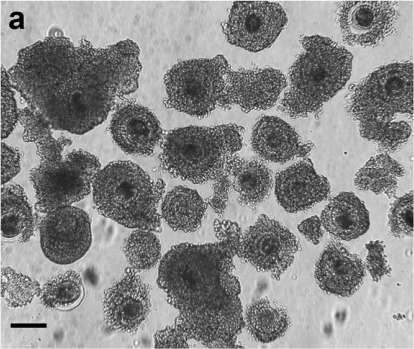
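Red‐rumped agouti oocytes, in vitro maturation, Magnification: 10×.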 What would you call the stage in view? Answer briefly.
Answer: Immature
